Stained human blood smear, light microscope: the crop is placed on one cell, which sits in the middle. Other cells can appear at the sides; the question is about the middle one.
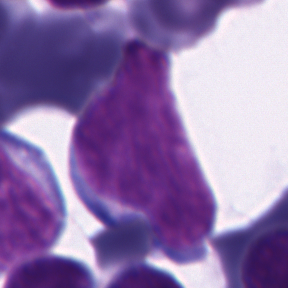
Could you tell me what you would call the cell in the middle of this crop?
myeloblast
